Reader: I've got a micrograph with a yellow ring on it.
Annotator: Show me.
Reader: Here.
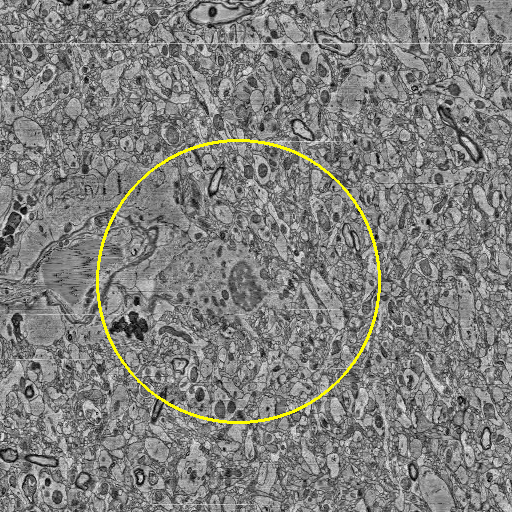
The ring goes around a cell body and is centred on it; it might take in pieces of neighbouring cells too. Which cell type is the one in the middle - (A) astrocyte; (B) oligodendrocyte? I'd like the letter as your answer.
B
